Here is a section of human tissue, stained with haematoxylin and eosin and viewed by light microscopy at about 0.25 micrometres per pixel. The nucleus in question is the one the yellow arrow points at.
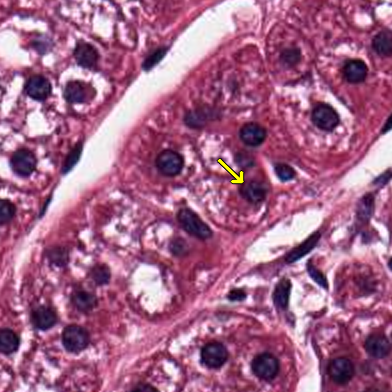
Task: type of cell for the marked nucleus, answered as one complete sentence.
Belonging to an adrenal cortical cell is the marked nucleus.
